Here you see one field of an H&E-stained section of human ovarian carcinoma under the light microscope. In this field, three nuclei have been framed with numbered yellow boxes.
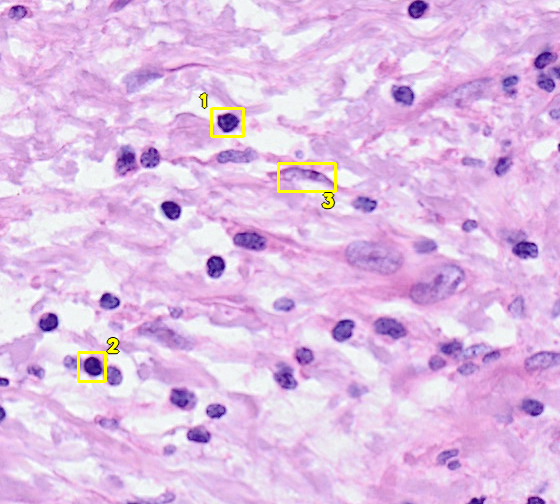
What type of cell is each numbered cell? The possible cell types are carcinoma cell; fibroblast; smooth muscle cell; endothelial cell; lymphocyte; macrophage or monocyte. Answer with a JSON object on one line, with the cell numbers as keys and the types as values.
{"1": "lymphocyte", "2": "lymphocyte", "3": "fibroblast"}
